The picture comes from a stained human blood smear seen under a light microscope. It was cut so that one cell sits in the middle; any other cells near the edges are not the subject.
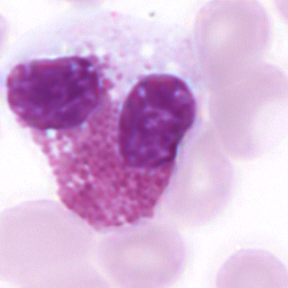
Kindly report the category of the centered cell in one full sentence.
This particular crop is centered on an eosinophil.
